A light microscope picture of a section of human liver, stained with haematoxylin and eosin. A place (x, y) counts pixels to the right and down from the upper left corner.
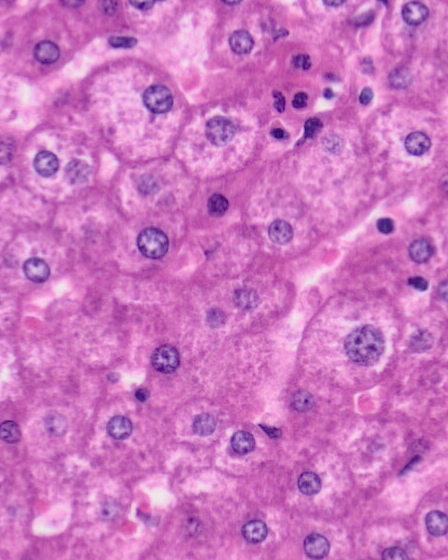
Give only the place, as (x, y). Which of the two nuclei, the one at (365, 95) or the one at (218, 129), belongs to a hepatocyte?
(218, 129)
